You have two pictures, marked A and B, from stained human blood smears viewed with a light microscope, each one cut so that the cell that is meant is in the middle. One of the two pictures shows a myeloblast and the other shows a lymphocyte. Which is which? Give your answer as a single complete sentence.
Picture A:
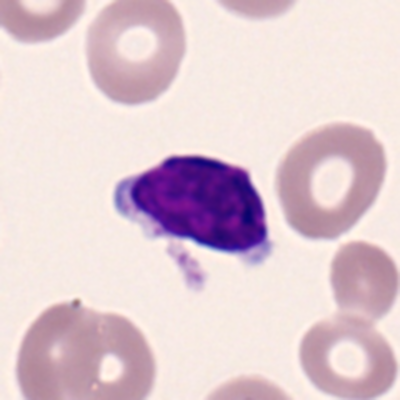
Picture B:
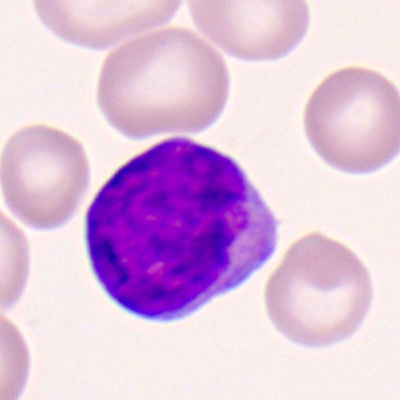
It is picture A that shows a lymphocyte, and picture B that shows a myeloblast.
